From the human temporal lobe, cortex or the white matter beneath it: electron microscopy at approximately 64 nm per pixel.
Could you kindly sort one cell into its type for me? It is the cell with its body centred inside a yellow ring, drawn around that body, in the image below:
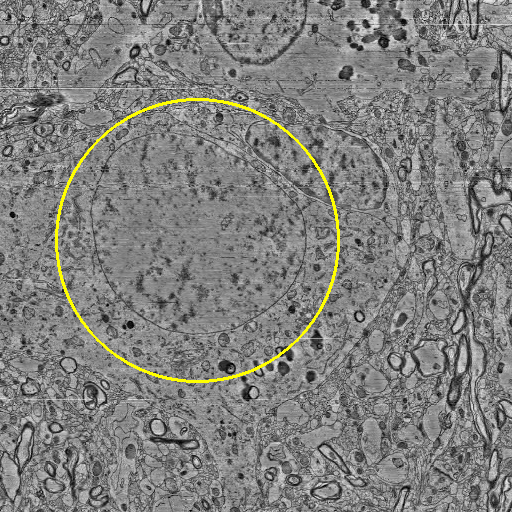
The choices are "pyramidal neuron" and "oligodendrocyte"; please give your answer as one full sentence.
The cell whose body lies centred in the yellow ring here is a pyramidal neuron.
